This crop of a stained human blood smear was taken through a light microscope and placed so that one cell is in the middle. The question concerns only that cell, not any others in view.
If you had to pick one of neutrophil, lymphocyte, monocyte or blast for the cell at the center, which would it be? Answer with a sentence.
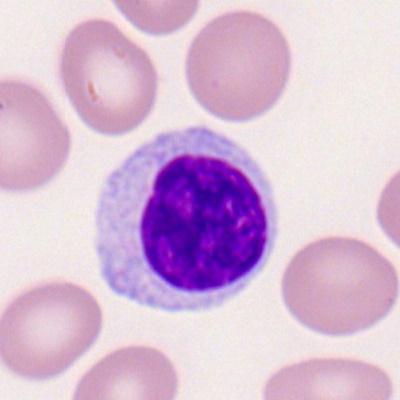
What sits at the centre of this crop is a lymphocyte.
